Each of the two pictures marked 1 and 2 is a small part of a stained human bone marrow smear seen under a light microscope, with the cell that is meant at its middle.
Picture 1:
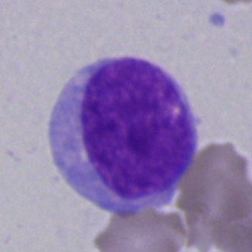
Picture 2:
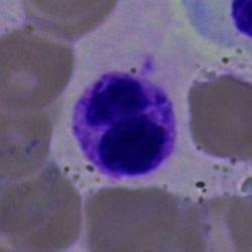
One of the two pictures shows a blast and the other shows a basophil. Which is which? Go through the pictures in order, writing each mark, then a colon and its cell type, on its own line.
1: blast
2: basophil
